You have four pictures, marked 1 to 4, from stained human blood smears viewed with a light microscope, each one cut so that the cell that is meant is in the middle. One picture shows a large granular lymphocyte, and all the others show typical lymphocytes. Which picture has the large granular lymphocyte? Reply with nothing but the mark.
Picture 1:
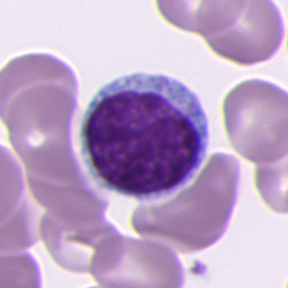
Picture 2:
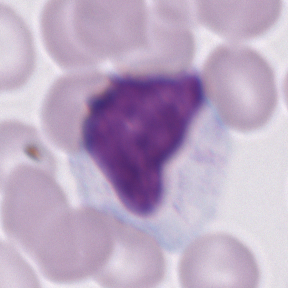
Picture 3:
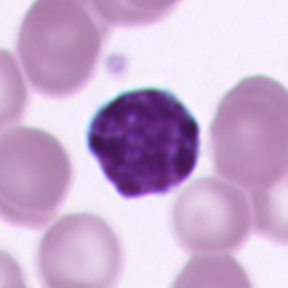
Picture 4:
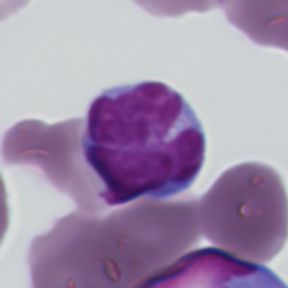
2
